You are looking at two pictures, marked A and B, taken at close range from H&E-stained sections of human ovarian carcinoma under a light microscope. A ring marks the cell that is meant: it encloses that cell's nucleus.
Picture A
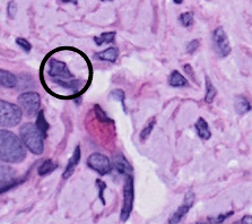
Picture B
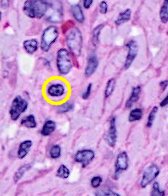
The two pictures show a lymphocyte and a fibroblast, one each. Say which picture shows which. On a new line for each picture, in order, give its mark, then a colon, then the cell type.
A: fibroblast
B: lymphocyte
